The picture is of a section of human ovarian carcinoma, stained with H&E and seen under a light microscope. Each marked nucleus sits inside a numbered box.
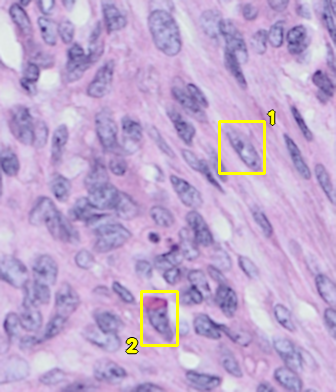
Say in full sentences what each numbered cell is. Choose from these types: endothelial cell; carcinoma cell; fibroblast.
Cell 1 is a fibroblast. Cell 2 is an endothelial cell.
